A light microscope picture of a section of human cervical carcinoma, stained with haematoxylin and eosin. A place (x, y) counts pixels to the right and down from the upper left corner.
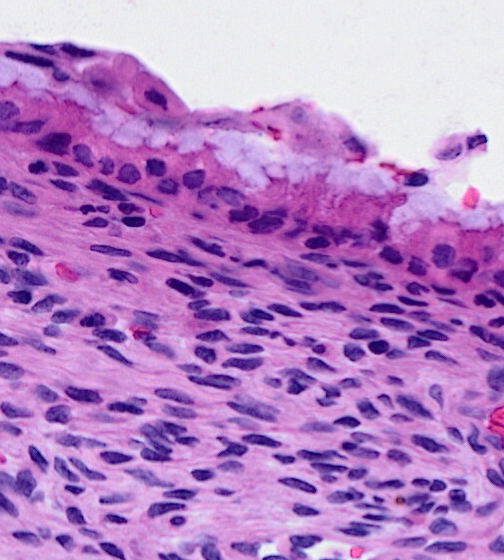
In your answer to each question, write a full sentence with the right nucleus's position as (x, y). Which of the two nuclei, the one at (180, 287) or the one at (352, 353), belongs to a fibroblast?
The member of the pair belonging to a fibroblast is the nucleus at (352, 353).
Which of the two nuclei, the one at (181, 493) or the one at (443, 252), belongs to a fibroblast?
Of these two nuclei, it is the one at (181, 493) that belongs to a fibroblast.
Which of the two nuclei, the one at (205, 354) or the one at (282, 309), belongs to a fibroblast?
The nucleus situated at (282, 309) is the one belonging to a fibroblast.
